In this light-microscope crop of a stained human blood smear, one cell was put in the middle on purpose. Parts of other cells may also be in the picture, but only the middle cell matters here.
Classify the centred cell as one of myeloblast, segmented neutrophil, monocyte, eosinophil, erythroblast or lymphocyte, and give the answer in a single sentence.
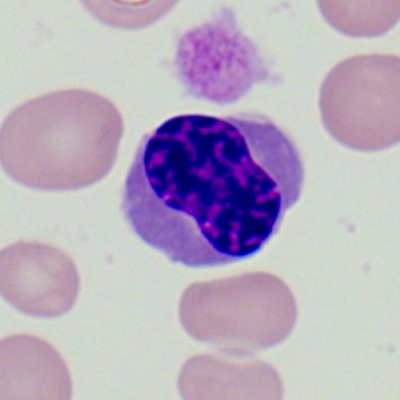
Classification of the middle cell gives an erythroblast.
